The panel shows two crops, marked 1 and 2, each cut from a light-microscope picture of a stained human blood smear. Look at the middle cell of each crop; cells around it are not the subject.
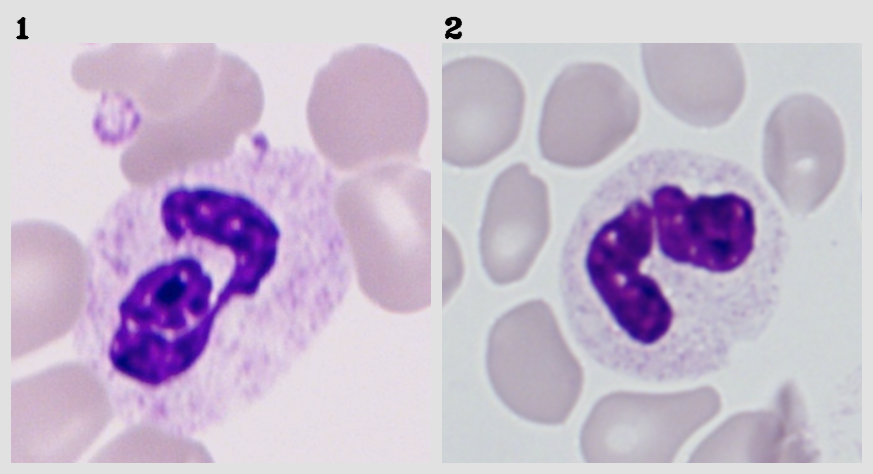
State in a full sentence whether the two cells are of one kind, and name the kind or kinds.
Yes, the cells that the two crops centre on are segmented neutrophils.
